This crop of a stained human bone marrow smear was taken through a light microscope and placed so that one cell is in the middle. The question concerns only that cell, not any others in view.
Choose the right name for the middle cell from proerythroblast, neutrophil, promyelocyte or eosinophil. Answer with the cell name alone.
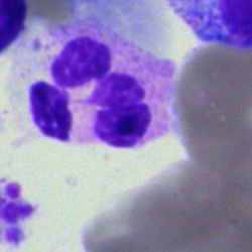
neutrophil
